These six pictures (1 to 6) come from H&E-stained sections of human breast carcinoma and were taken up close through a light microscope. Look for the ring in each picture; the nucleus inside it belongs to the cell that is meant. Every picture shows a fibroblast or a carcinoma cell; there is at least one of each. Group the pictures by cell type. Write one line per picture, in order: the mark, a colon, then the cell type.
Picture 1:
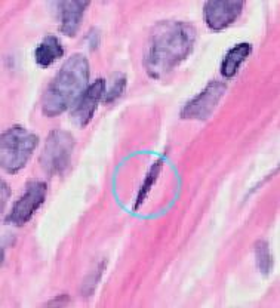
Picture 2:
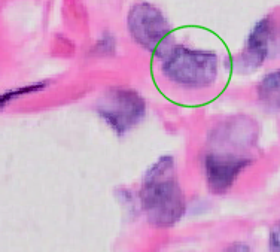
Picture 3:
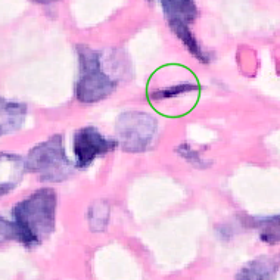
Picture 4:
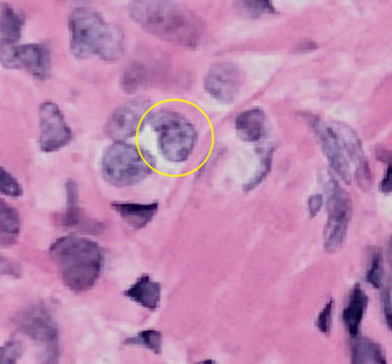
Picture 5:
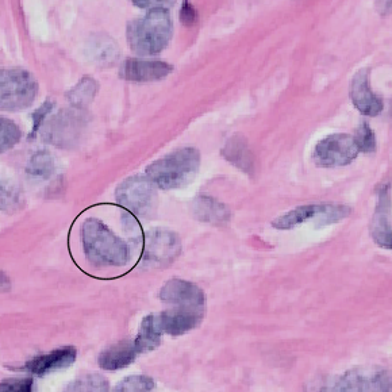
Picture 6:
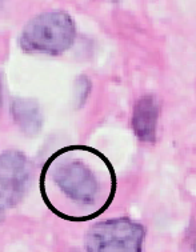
1: fibroblast
2: carcinoma cell
3: fibroblast
4: carcinoma cell
5: carcinoma cell
6: carcinoma cell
